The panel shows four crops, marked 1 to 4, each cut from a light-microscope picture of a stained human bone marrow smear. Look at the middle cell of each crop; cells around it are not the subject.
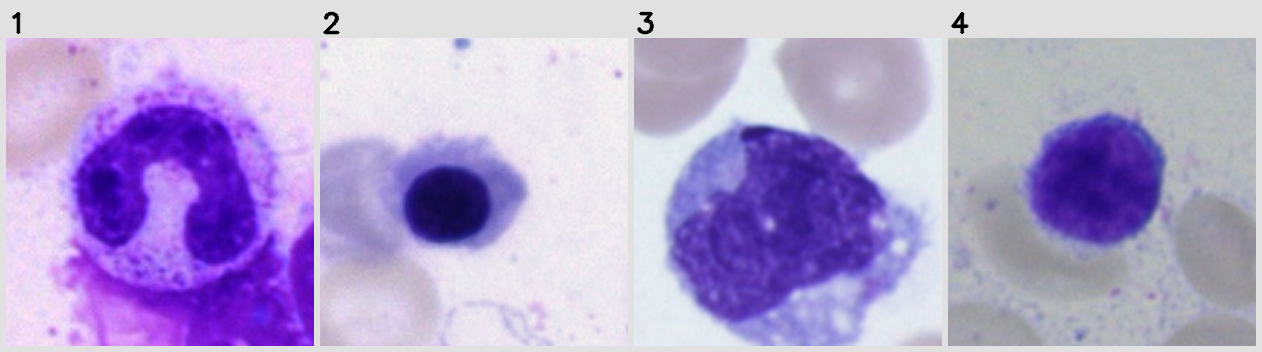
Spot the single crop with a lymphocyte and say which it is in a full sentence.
Among all the crops given here, the one with a lymphocyte is crop 4.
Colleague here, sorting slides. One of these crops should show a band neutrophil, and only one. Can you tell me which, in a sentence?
It is crop 1, not any other, that shows a band neutrophil.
